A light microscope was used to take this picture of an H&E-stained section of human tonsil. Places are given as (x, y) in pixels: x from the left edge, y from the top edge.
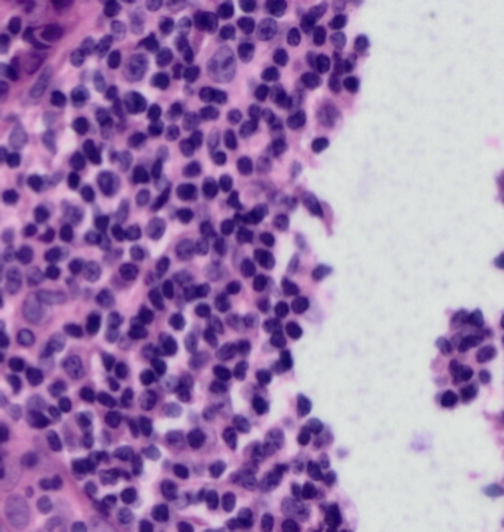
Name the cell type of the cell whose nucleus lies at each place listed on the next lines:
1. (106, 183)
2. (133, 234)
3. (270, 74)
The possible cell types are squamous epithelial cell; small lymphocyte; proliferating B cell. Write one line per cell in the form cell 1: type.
cell 1: proliferating B cell
cell 2: small lymphocyte
cell 3: small lymphocyte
